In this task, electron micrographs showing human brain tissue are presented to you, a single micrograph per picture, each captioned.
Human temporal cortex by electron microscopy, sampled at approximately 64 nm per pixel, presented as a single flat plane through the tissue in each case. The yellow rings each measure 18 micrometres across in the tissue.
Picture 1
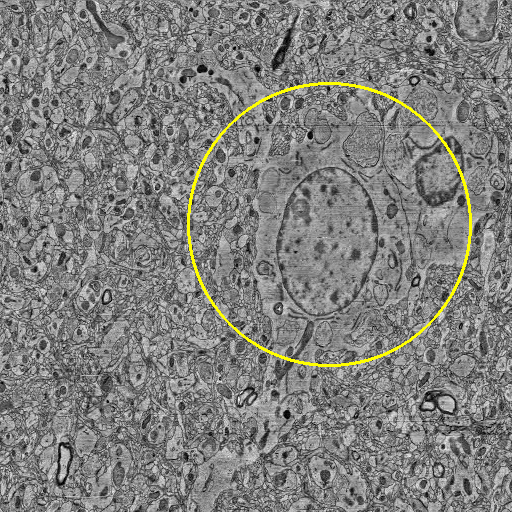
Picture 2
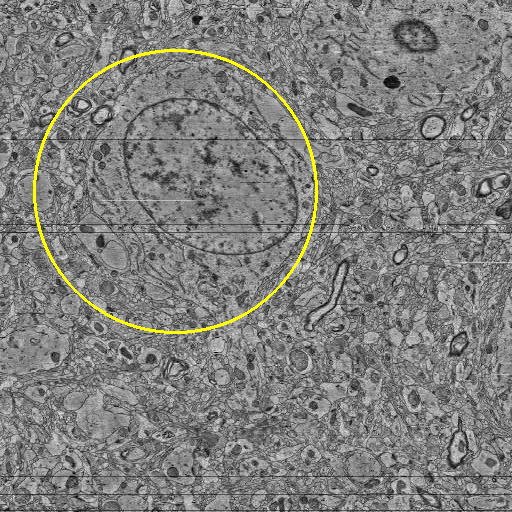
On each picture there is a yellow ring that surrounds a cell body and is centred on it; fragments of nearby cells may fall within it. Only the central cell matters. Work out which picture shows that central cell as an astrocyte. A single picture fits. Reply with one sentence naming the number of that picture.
Of all the pictures, number 1 has the right cell in the centre of its ring.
